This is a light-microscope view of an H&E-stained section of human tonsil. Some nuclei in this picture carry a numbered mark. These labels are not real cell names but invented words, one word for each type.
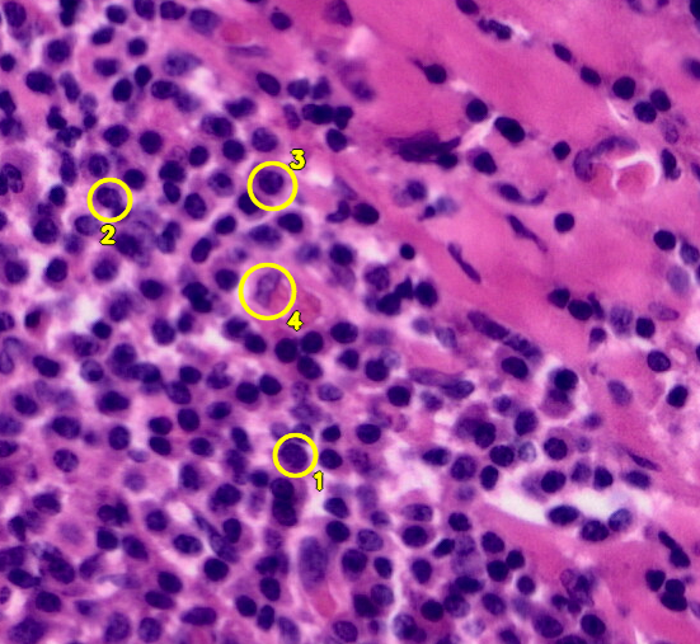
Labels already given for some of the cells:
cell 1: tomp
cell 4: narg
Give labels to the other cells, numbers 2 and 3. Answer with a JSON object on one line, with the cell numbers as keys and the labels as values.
{"2": "tomp", "3": "tomp"}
